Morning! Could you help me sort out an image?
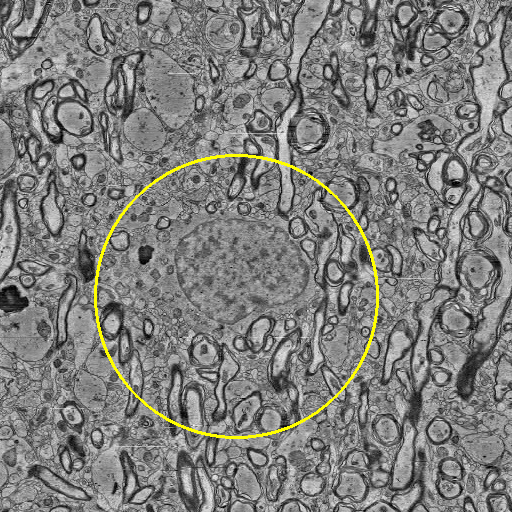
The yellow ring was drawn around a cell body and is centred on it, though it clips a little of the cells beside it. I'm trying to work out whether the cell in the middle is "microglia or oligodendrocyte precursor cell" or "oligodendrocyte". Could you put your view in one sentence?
The ringed cell body is that of an oligodendrocyte.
